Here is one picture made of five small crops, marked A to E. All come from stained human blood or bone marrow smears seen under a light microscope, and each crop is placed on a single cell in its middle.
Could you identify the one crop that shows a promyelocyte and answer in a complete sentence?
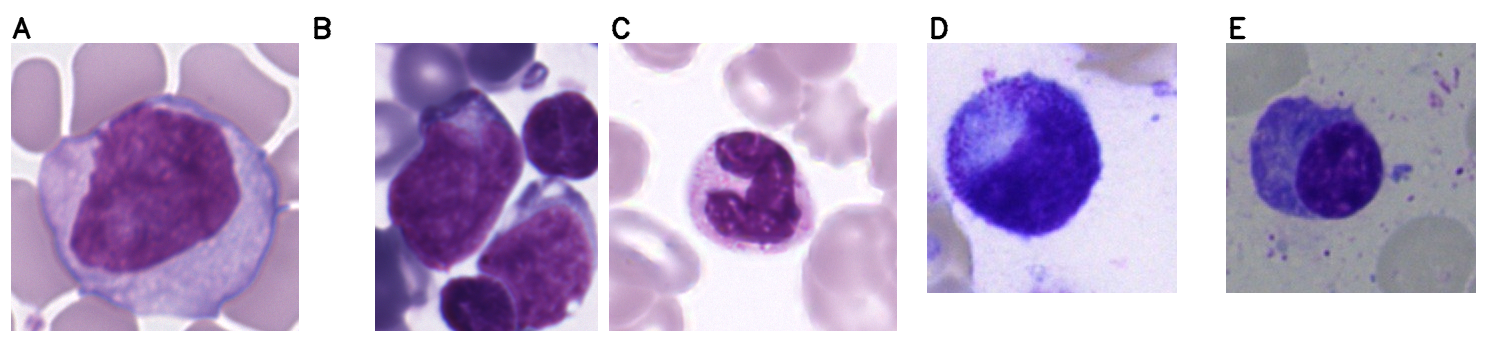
Crop D is the one depicting a promyelocyte.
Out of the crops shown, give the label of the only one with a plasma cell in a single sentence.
Of the cells presented, the one in crop E is a plasma cell.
